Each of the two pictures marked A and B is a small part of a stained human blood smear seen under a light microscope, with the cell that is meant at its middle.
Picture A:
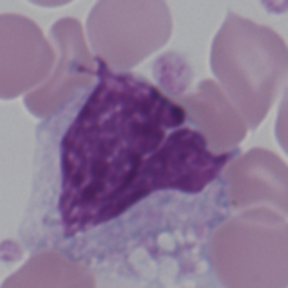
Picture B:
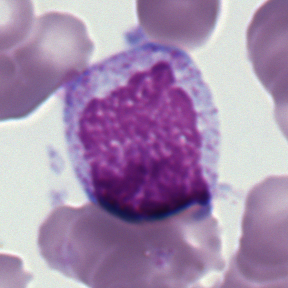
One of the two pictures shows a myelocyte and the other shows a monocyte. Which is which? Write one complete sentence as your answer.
It is picture A that shows a monocyte, and picture B that shows a myelocyte.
